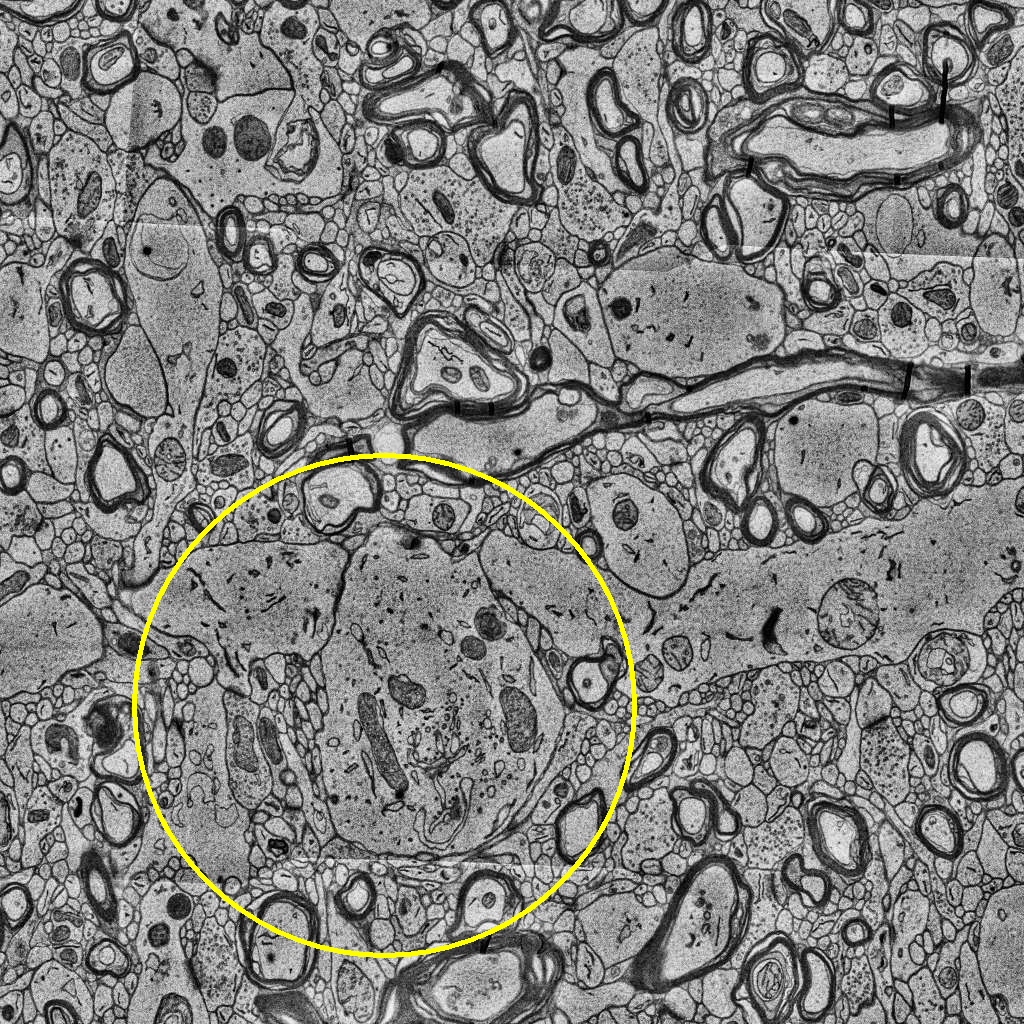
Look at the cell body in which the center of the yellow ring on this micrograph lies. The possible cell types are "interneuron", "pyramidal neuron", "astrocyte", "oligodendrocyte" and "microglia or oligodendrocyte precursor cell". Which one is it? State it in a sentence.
The cell at the middle of the ring is a microglial cell or oligodendrocyte precursor cell.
